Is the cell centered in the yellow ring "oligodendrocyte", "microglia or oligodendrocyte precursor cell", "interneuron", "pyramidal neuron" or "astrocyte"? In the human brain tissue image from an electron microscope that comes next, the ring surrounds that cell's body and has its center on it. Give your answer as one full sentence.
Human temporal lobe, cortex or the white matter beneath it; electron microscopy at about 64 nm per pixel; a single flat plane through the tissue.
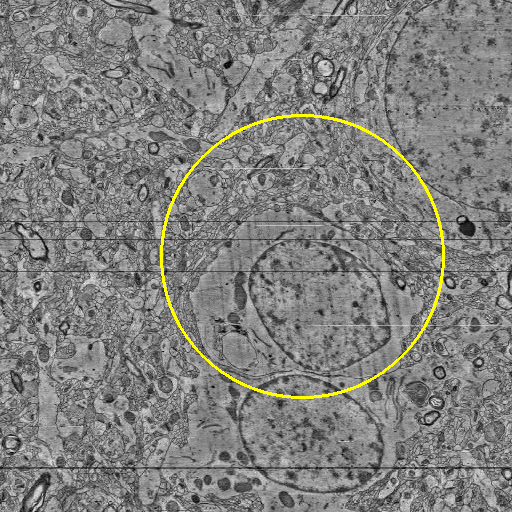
The cell at the center of the yellow ring is an astrocyte in the micrograph.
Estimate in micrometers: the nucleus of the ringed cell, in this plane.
The ringed cell's nucleus is about 10 micrometres long and 8 micrometres wide in this plane.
